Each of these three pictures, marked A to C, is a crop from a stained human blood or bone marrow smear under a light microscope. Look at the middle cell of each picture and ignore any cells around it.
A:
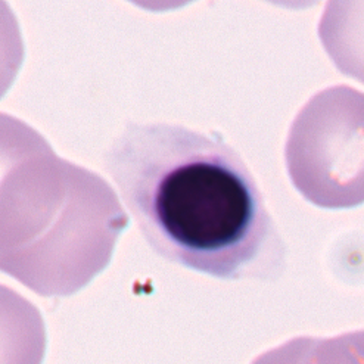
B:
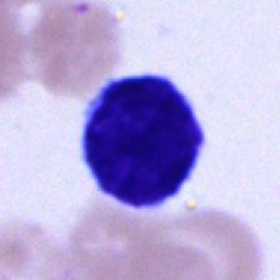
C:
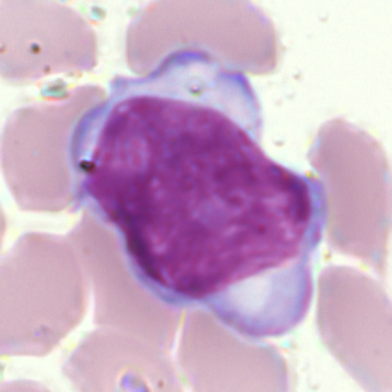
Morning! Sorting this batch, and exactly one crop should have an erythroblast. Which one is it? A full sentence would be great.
Crop A is the one in this set that shows an erythroblast.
